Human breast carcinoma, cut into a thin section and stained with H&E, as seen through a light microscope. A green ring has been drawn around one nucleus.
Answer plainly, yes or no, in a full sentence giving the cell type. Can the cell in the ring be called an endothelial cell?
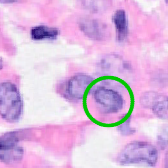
No, scored properly, the cell in the ring is a carcinoma cell rather than an endothelial cell.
